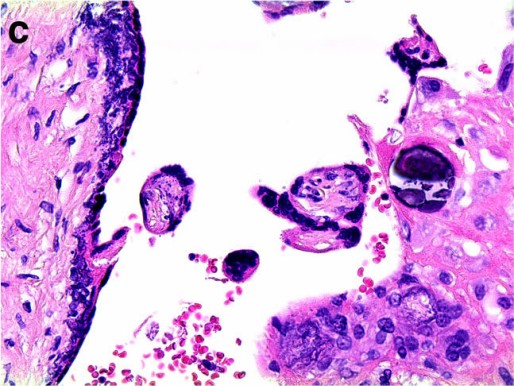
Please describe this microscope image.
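Placental villi at higher power, with trophoblast lining their surfaces. On the left a large villus with pink fibrous stroma and spindle nuclei is bordered by a thick band of dark blue-purple granular deposit along its surface. Small villi in the middle are likewise coated with dark basophilic material. On the right lie larger cells with pale pink cytoplasm and plump, dark, irregular nuclei. Red blood cells are scattered in the space between.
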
